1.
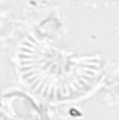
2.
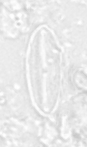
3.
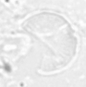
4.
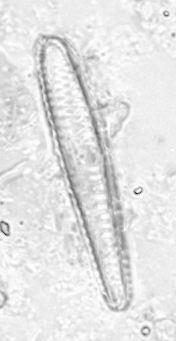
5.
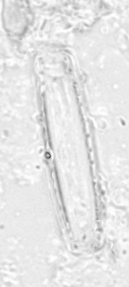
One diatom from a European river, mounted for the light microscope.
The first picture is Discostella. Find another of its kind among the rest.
Picture 3.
